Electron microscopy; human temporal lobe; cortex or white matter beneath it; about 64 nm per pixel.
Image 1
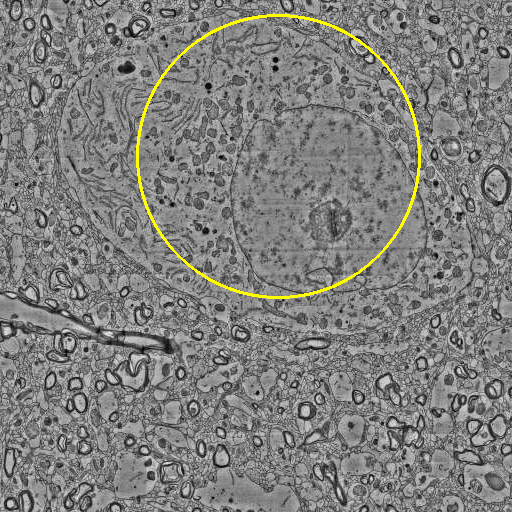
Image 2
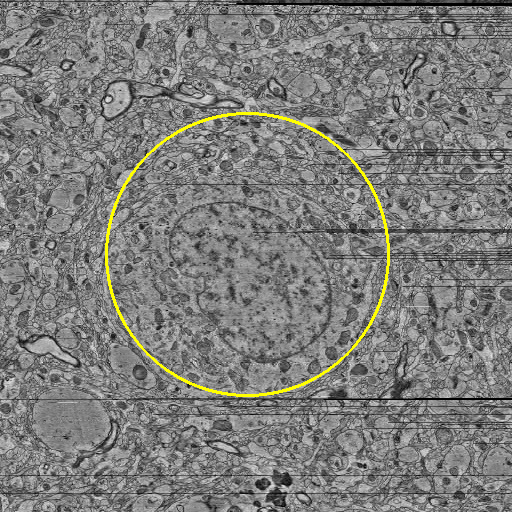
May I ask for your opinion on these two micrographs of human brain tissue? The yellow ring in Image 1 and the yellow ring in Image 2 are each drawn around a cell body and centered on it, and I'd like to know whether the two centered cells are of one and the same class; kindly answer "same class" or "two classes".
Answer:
same class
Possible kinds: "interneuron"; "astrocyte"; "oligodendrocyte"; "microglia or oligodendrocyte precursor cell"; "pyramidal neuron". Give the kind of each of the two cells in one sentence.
Each cell, in the first picture and the second, is an interneuron.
